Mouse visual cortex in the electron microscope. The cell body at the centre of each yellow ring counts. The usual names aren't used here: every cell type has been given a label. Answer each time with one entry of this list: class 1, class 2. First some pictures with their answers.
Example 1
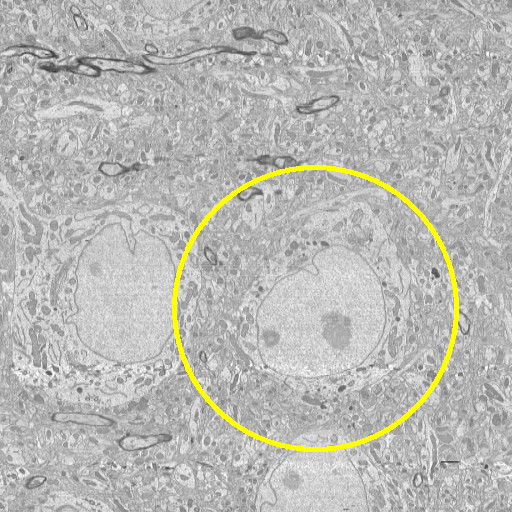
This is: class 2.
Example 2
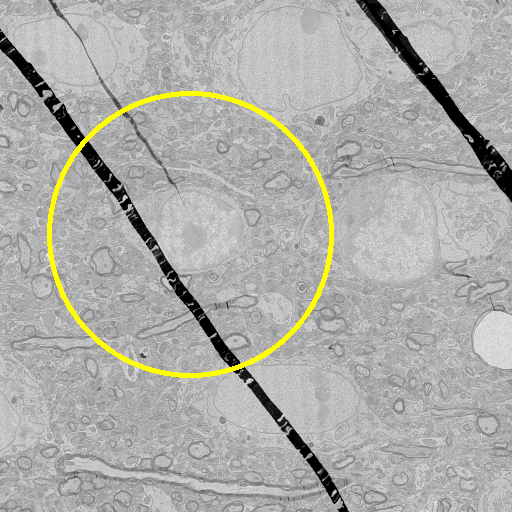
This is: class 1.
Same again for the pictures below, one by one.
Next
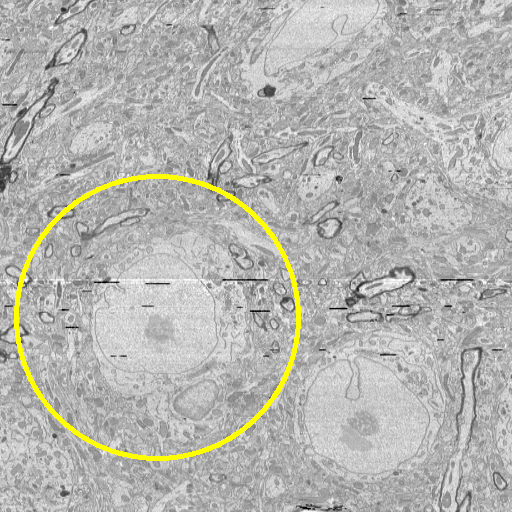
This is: class 2.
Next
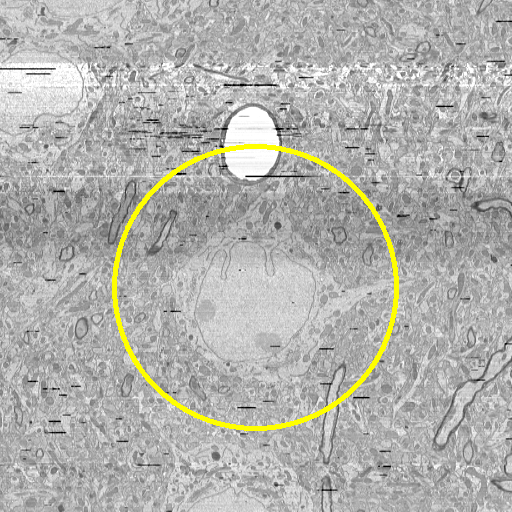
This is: class 2.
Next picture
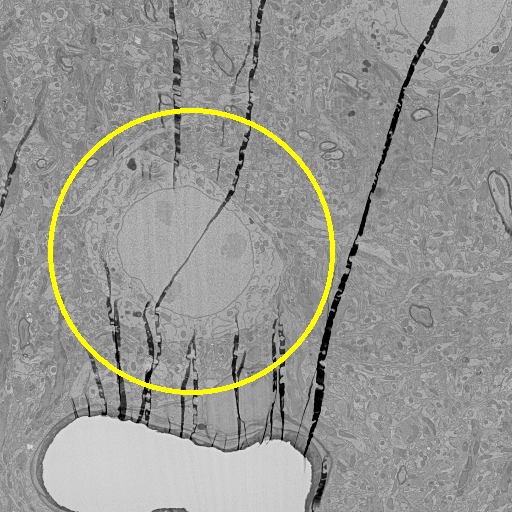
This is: class 2.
